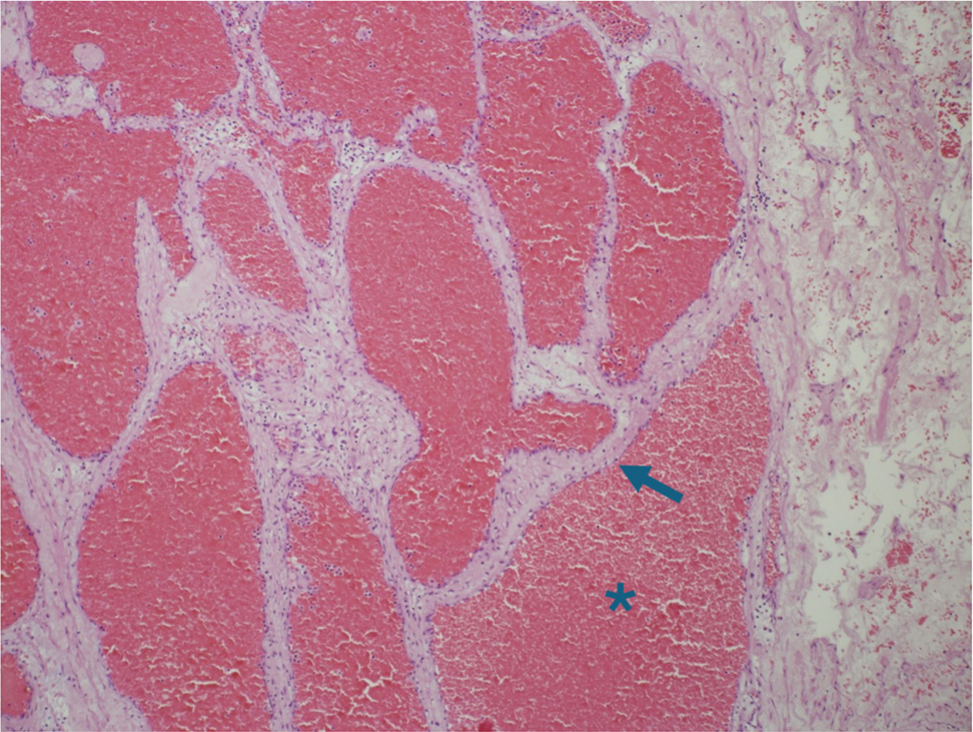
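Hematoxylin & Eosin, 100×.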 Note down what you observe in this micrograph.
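This is a tumor made of many large, cystically dilated vascular spaces. Thin fibrous septa, pale pink with scattered small dark nuclei, separate the spaces. The nuclei are not enlarged or crowded. Some septa are wider and hold a few more cells. At the right edge lies loose, pale, oedematous connective tissue containing scattered red cells.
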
